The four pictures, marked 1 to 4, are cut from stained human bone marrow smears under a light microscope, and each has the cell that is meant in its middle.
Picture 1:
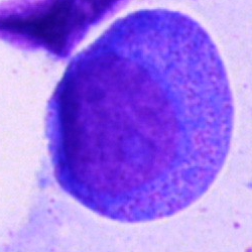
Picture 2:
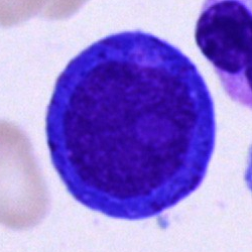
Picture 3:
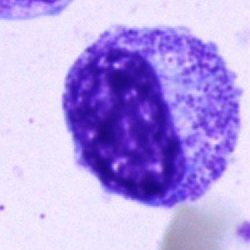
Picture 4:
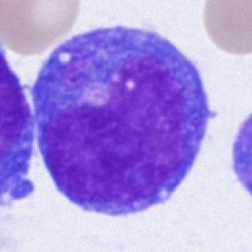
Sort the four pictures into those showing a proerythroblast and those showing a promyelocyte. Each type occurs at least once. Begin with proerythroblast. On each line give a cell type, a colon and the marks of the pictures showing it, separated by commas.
proerythroblast: 2
promyelocyte: 1, 3, 4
